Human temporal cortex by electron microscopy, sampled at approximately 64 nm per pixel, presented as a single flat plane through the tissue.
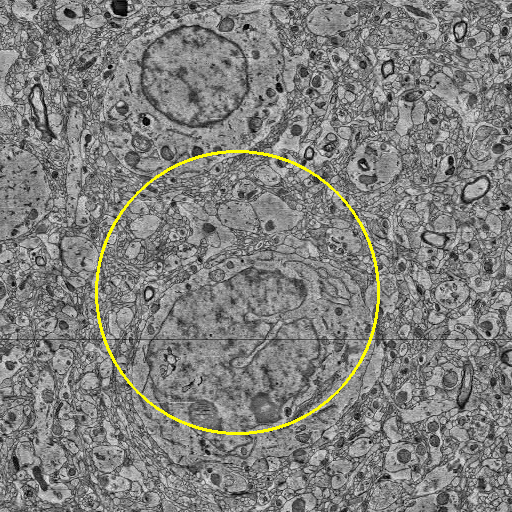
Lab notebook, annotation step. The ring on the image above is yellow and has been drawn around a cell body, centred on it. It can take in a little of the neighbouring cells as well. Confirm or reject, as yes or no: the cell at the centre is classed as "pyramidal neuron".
No, the cell is of another class.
